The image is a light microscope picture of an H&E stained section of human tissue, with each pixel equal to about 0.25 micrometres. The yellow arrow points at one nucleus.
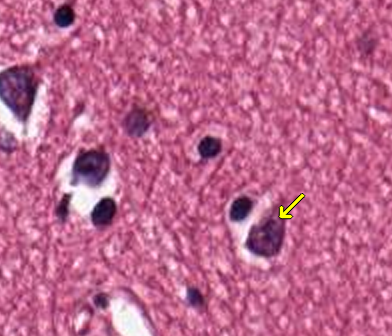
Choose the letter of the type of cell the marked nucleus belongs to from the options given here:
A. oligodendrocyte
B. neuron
B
